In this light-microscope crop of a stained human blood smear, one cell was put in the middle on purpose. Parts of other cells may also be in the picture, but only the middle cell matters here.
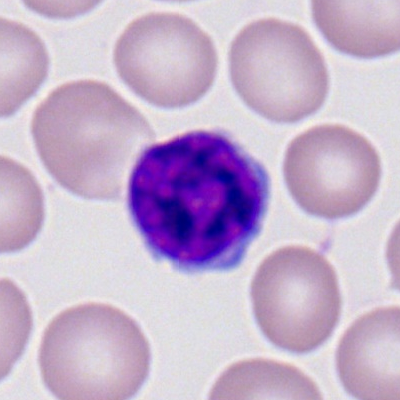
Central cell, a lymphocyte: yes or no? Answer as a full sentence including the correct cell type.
Yes, the cell shown centrally is a lymphocyte.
